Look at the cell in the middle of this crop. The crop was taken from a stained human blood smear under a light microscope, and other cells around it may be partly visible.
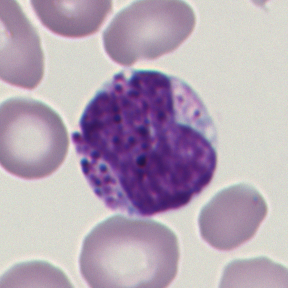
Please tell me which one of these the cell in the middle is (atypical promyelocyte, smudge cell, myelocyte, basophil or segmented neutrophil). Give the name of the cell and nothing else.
basophil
